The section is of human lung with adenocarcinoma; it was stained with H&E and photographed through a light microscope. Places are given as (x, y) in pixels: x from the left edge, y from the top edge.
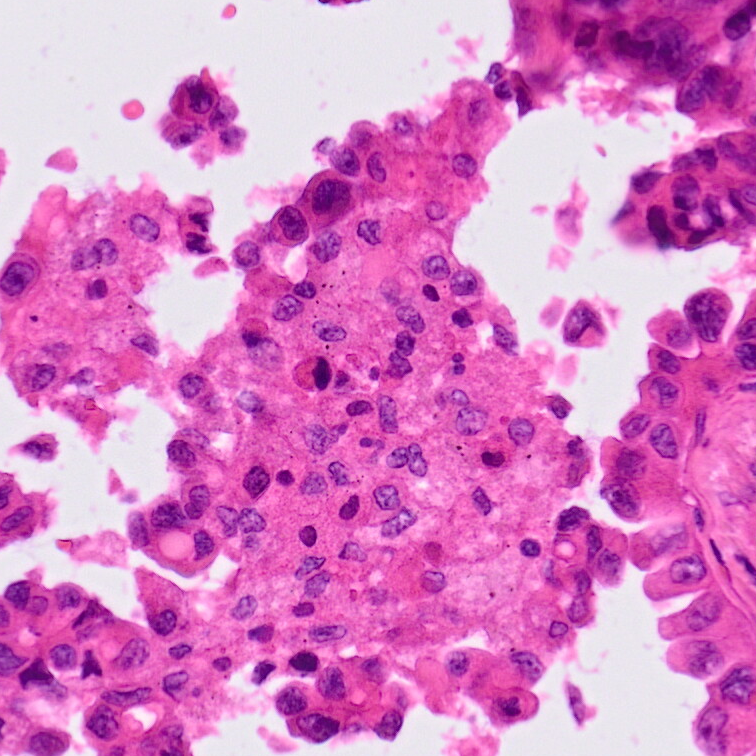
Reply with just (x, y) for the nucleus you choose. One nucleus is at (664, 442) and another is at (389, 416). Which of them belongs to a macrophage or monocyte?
(389, 416)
